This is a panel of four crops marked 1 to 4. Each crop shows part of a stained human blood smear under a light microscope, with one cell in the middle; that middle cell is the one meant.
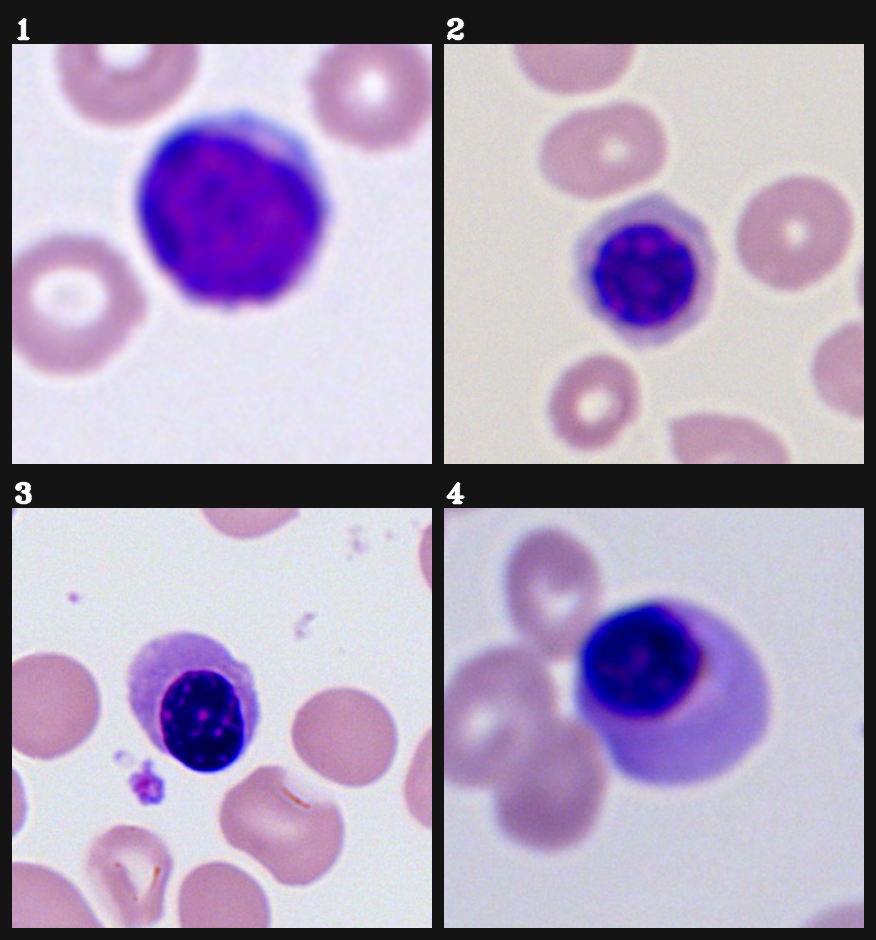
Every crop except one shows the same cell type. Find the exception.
1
